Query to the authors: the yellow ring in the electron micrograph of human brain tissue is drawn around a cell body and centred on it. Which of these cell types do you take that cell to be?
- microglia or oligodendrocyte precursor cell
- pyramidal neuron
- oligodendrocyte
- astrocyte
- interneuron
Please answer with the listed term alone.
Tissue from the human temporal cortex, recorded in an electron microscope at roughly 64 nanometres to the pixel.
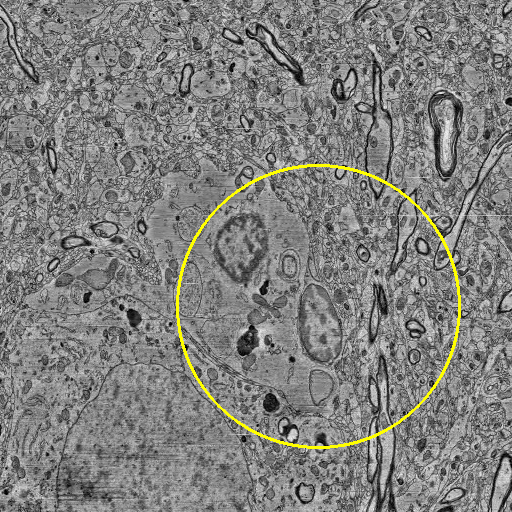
microglia or oligodendrocyte precursor cell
